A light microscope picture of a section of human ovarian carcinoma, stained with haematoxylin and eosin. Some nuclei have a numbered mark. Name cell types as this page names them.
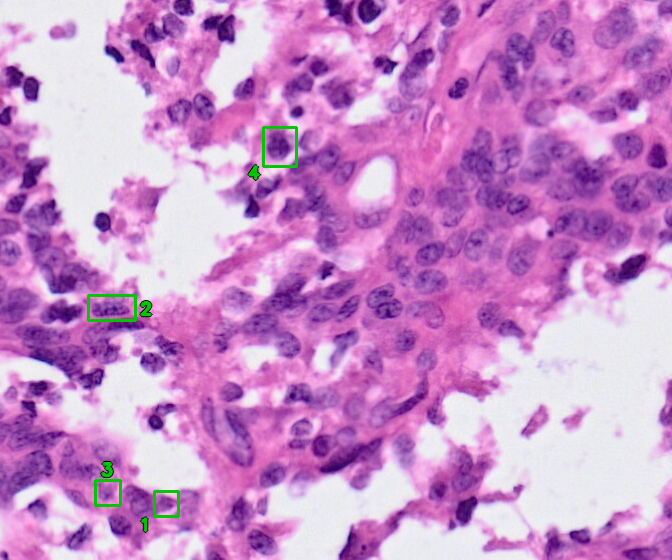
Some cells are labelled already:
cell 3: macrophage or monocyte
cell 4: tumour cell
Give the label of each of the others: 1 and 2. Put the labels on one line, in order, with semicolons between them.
tumour cell; macrophage or monocyte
